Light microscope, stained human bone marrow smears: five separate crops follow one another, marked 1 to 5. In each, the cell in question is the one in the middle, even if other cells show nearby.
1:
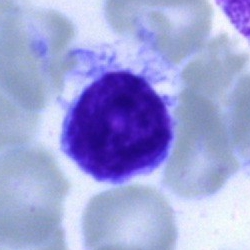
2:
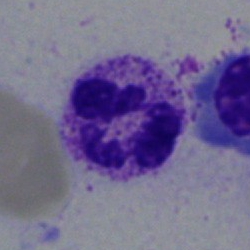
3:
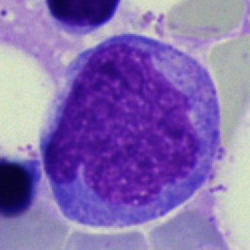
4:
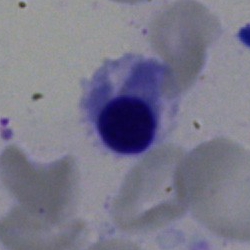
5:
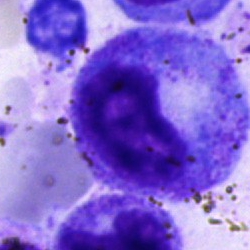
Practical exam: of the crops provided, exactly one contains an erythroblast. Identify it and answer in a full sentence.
The one showing an erythroblast is crop 4.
